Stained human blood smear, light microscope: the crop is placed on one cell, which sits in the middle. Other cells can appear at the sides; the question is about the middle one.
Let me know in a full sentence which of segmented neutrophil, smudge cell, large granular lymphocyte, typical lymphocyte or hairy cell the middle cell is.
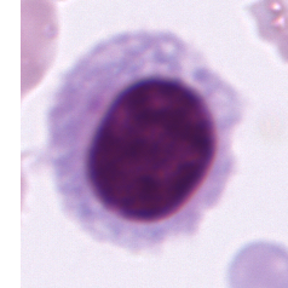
At the crop's centre, the cell is a hairy cell.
